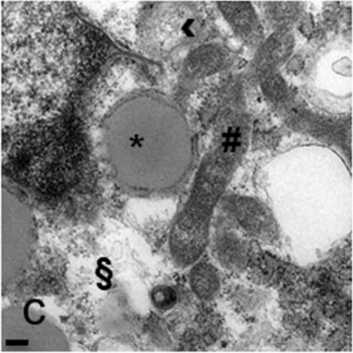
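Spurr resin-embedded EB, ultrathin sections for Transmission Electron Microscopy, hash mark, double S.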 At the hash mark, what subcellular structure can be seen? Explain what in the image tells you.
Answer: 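Elongated, branching double-membrane bodies. Dense matrix with internal cristae.
Conclusion: mitochondria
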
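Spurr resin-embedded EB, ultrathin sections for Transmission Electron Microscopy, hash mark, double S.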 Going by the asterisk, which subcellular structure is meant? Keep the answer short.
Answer: Lipid granule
